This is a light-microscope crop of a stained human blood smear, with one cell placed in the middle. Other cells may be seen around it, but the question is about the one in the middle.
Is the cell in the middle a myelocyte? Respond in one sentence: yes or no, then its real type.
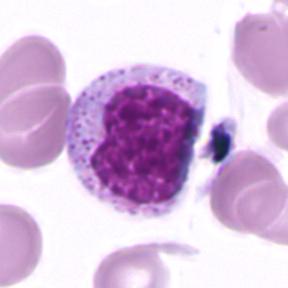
No, the cell of interest here is a metamyelocyte and not a myelocyte.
